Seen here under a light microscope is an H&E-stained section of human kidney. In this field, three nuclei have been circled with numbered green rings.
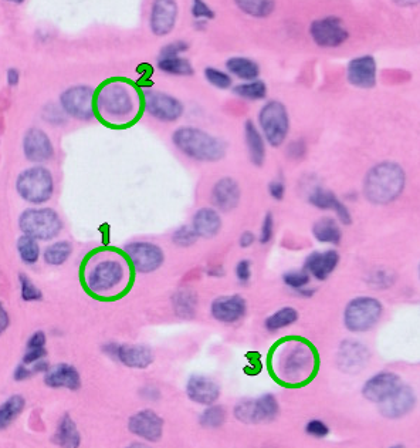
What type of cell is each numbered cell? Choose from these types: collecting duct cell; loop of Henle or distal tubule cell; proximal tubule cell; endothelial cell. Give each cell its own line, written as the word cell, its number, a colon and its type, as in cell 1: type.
cell 1: collecting duct cell
cell 2: collecting duct cell
cell 3: loop of Henle or distal tubule cell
